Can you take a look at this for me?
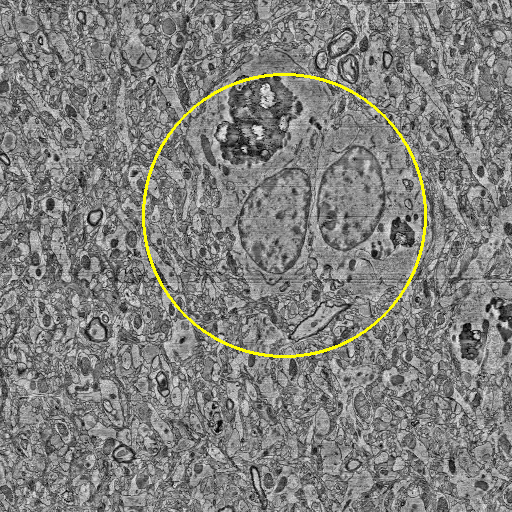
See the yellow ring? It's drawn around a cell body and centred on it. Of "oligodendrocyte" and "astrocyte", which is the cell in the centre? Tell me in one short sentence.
The one in the centre is an astrocyte.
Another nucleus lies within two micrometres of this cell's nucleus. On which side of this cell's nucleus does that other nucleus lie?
The other one is to the upper right of it.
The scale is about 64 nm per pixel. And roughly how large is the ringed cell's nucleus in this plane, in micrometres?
About 7 by 4 micrometres in this plane; clearly longer than it is wide.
